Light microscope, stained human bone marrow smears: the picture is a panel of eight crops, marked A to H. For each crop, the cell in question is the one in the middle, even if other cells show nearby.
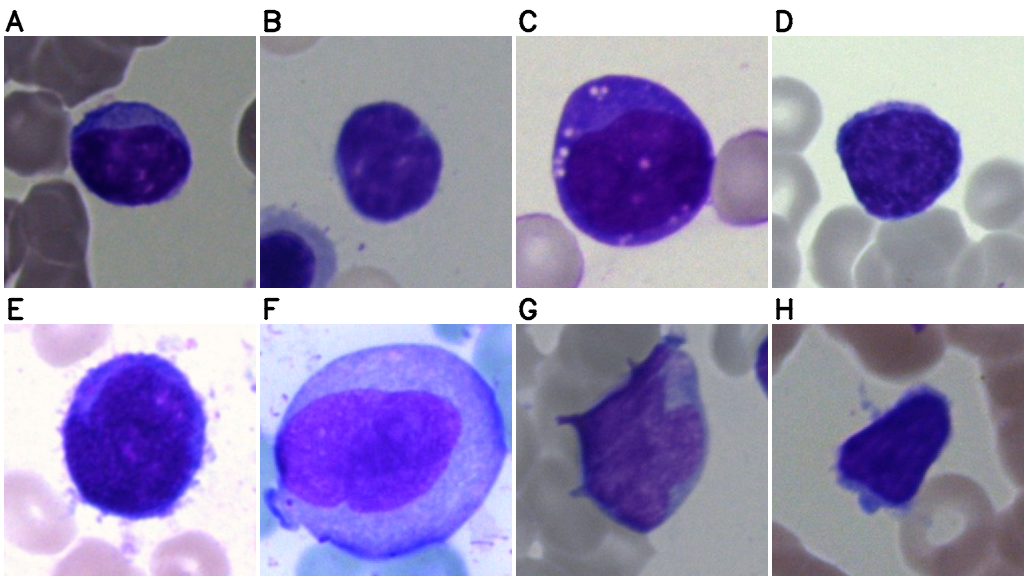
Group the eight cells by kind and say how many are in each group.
lymphocyte: 4
blast: 4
